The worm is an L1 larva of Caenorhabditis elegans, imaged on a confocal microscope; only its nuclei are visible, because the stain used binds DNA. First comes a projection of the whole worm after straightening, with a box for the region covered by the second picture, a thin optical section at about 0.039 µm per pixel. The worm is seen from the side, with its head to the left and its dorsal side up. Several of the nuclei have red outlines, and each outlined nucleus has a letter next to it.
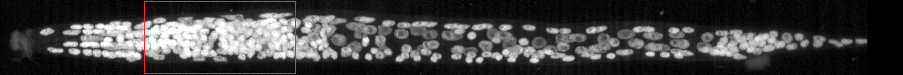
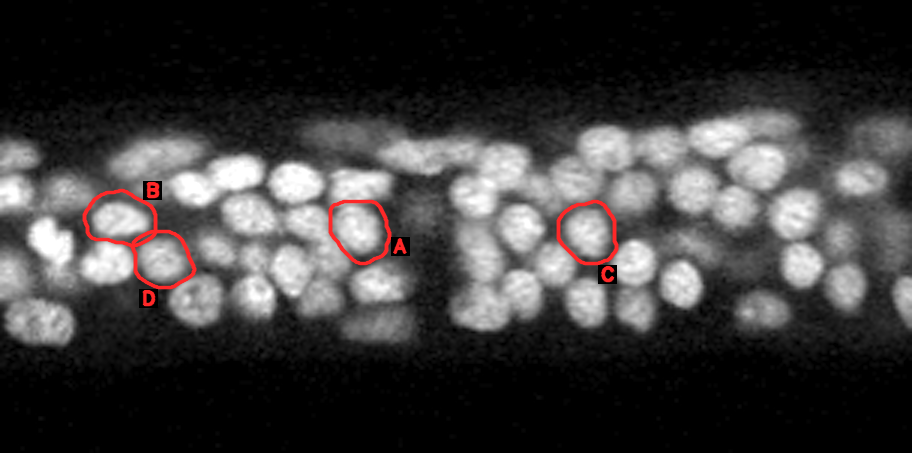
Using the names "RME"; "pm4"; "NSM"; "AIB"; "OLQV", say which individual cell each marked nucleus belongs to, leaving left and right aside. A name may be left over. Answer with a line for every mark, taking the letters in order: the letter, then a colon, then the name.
A: RME
B: pm4
C: AIB
D: NSM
